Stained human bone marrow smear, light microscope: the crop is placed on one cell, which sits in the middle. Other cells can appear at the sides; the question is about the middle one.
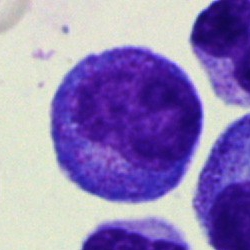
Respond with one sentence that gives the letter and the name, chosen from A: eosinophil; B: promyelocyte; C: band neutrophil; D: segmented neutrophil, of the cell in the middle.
What option B states is correct, the central cell being a promyelocyte.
